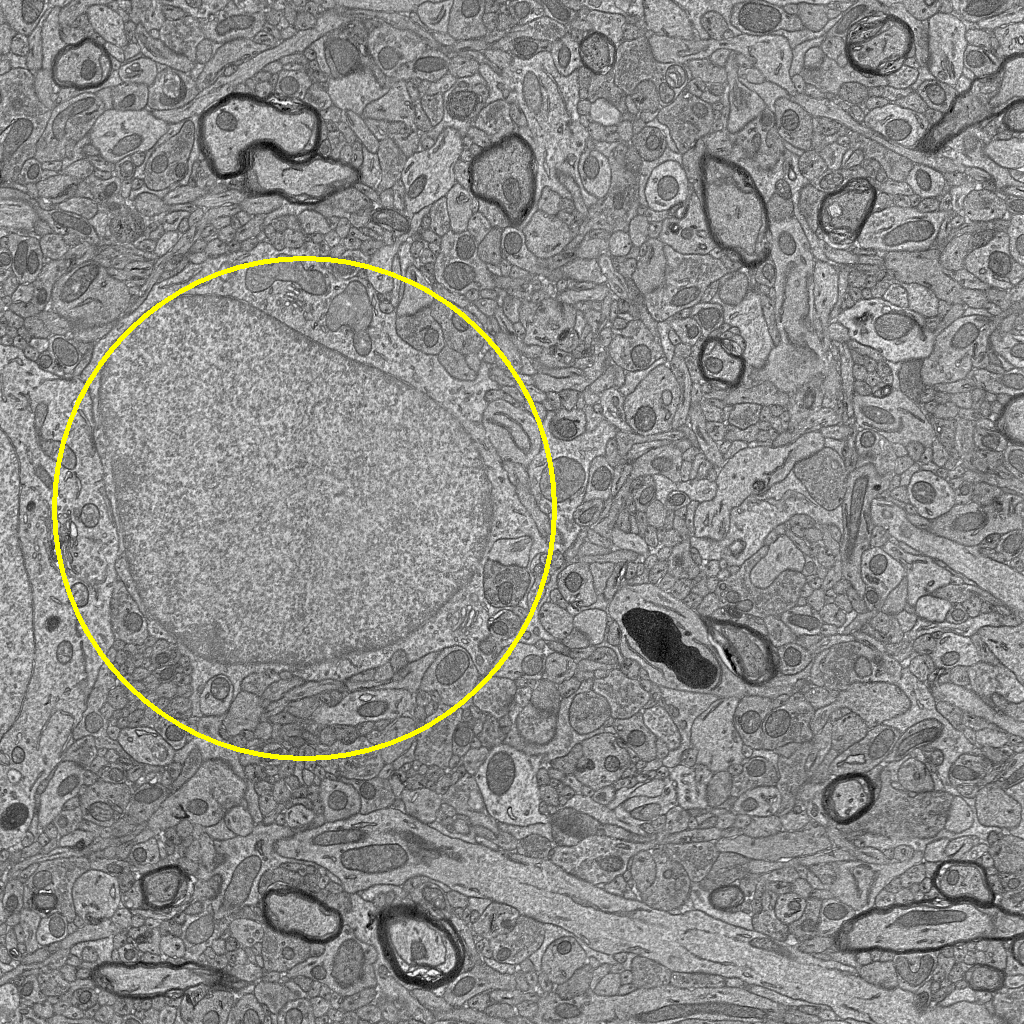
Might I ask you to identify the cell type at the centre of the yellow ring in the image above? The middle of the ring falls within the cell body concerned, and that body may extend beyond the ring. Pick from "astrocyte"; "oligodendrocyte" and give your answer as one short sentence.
The centre of the ring falls on an astrocyte.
